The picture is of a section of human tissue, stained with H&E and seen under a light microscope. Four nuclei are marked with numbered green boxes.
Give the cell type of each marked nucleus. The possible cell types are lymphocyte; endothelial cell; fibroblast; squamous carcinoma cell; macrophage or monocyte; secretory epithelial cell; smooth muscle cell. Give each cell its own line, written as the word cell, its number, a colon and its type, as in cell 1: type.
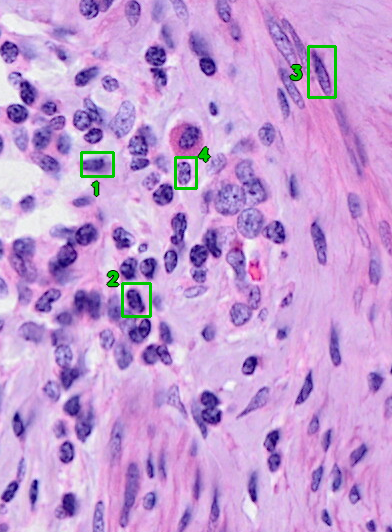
cell 1: lymphocyte
cell 2: lymphocyte
cell 3: smooth muscle cell
cell 4: lymphocyte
